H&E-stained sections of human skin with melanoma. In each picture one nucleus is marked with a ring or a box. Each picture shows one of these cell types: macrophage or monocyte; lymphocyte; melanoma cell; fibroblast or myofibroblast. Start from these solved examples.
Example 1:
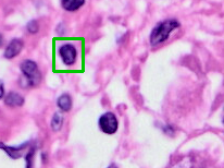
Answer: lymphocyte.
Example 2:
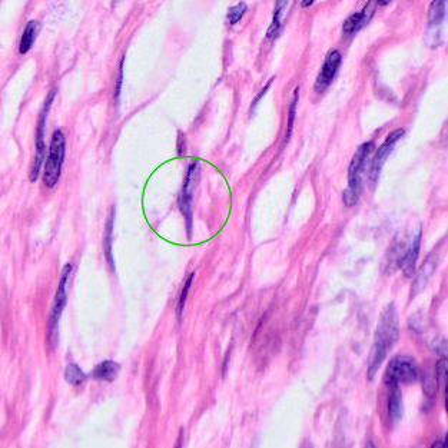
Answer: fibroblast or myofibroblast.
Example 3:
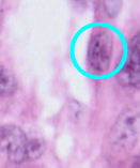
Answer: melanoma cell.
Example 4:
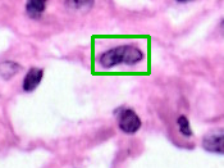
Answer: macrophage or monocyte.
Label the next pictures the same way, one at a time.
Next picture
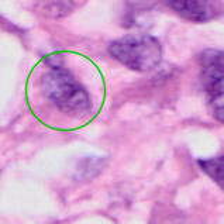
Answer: melanoma cell.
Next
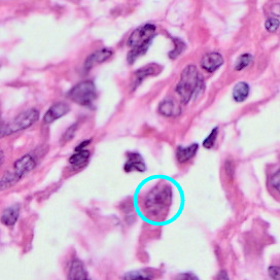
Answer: melanoma cell.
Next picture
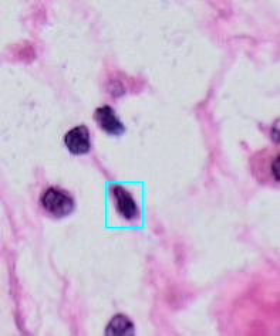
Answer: lymphocyte.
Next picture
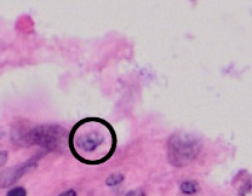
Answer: lymphocyte.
